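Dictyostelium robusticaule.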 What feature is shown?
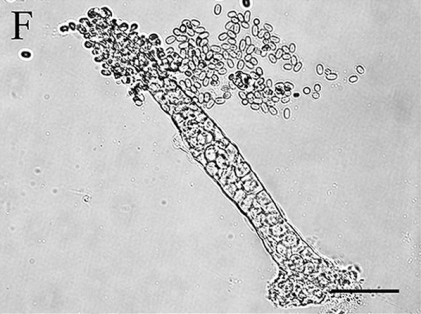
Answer: Sorophore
